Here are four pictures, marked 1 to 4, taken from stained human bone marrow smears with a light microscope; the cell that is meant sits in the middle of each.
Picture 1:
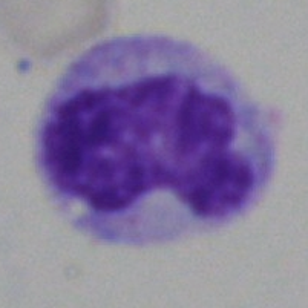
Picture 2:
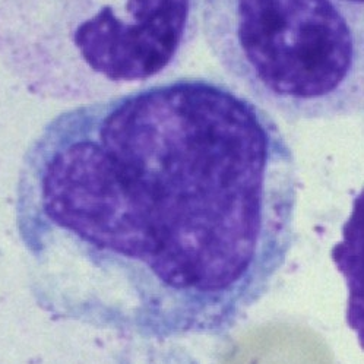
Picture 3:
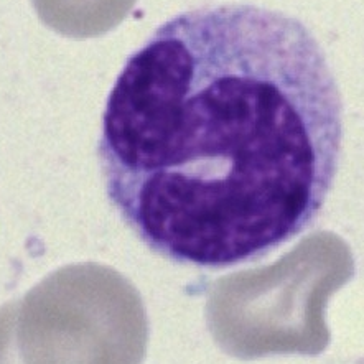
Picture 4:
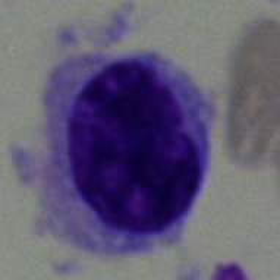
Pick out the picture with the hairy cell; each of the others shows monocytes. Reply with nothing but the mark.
4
